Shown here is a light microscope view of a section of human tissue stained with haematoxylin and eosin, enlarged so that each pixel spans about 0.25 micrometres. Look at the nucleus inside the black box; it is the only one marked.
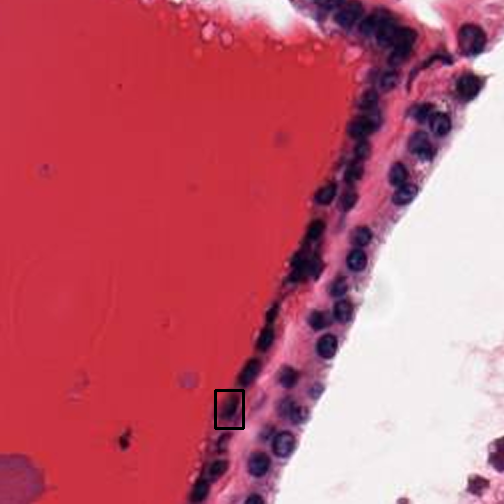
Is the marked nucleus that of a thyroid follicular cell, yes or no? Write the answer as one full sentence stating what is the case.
Yes, the marked nucleus is located in a thyroid follicular cell.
